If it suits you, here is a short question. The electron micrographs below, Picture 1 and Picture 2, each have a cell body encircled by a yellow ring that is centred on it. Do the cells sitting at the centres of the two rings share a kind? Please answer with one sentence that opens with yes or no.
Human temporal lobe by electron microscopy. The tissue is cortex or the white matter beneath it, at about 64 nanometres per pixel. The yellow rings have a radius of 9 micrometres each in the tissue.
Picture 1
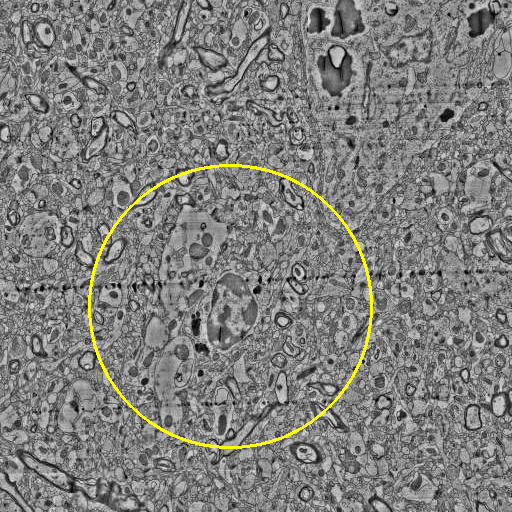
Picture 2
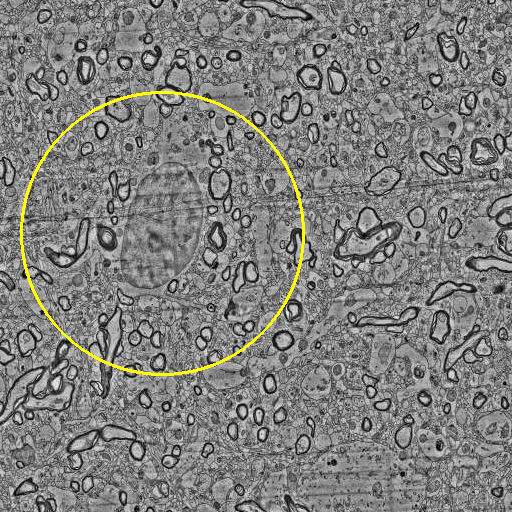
No, the two cells sitting at the ring centres fall into two kinds.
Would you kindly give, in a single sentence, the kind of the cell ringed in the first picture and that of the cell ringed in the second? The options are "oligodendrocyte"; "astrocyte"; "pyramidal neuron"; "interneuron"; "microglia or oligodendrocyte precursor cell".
The second cell is an oligodendrocyte, and the first cell is a microglial cell or oligodendrocyte precursor cell.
